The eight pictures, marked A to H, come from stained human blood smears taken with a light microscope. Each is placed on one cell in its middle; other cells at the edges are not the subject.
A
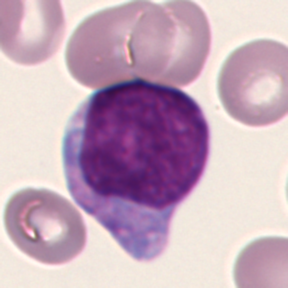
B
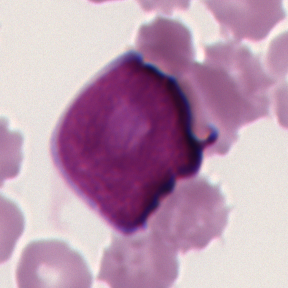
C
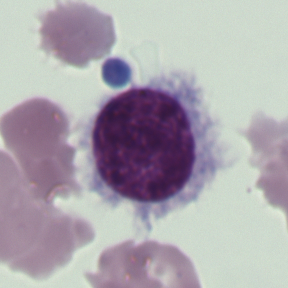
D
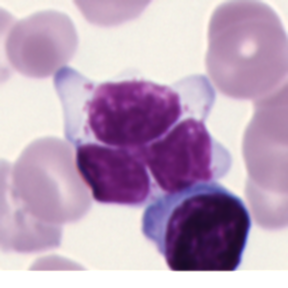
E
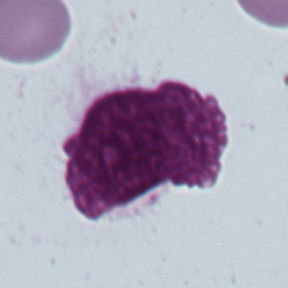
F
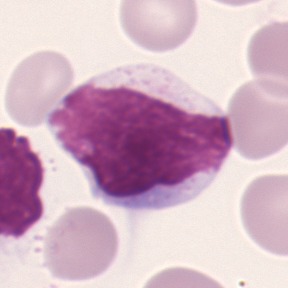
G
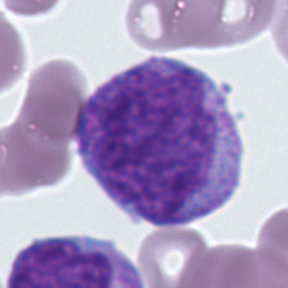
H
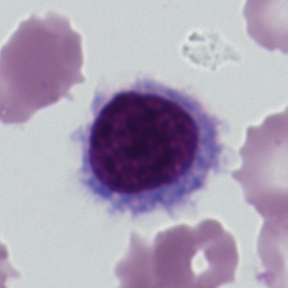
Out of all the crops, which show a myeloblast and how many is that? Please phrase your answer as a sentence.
A single crop in this set shows a myeloblast, and it is crop B.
